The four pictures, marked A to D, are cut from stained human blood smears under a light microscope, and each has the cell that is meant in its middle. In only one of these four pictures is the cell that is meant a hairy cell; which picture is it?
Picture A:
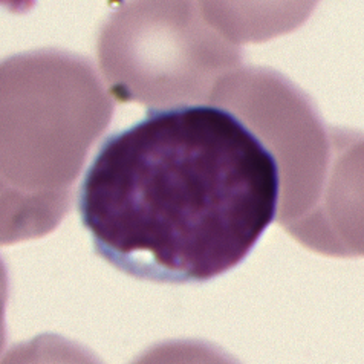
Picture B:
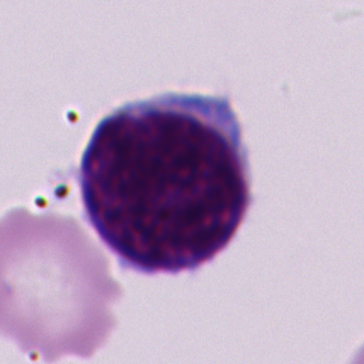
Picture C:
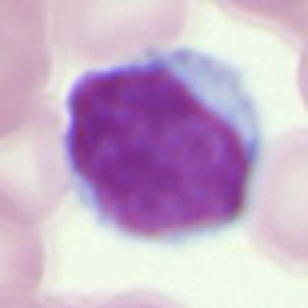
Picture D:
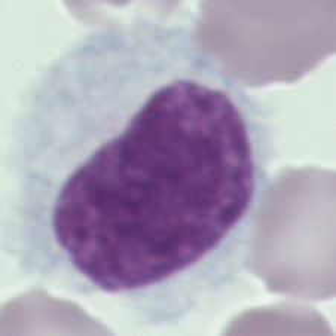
D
